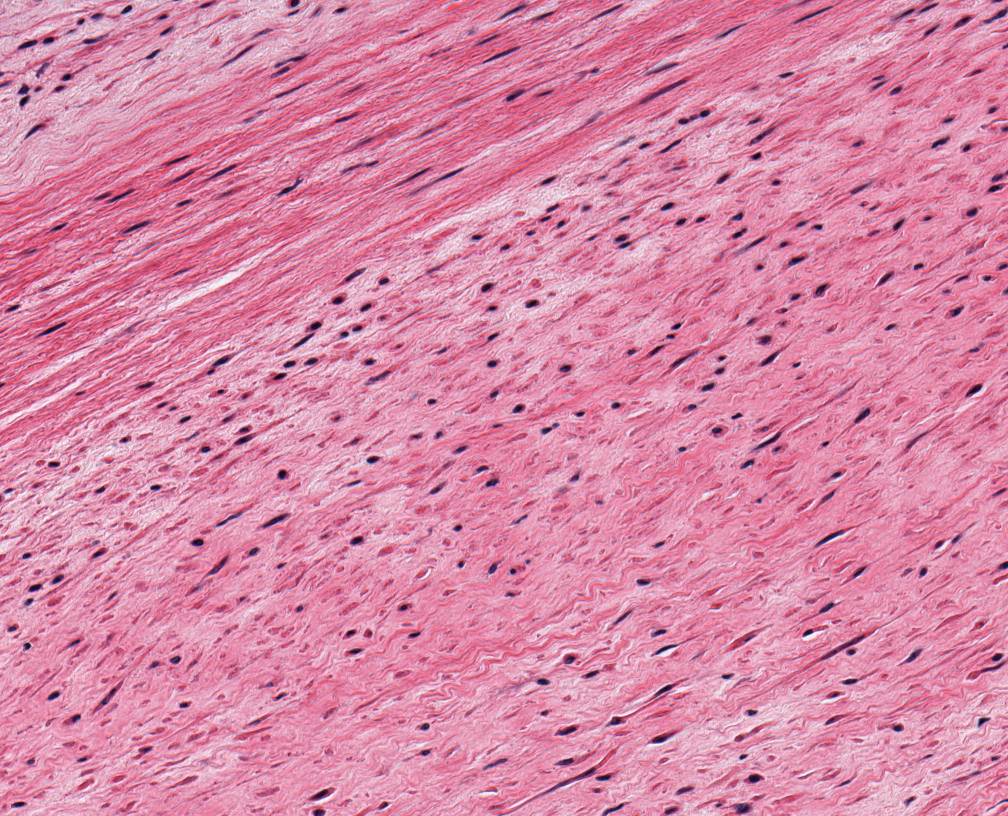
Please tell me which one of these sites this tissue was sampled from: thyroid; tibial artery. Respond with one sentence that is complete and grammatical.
It was from the tibial artery that this tissue was sampled.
